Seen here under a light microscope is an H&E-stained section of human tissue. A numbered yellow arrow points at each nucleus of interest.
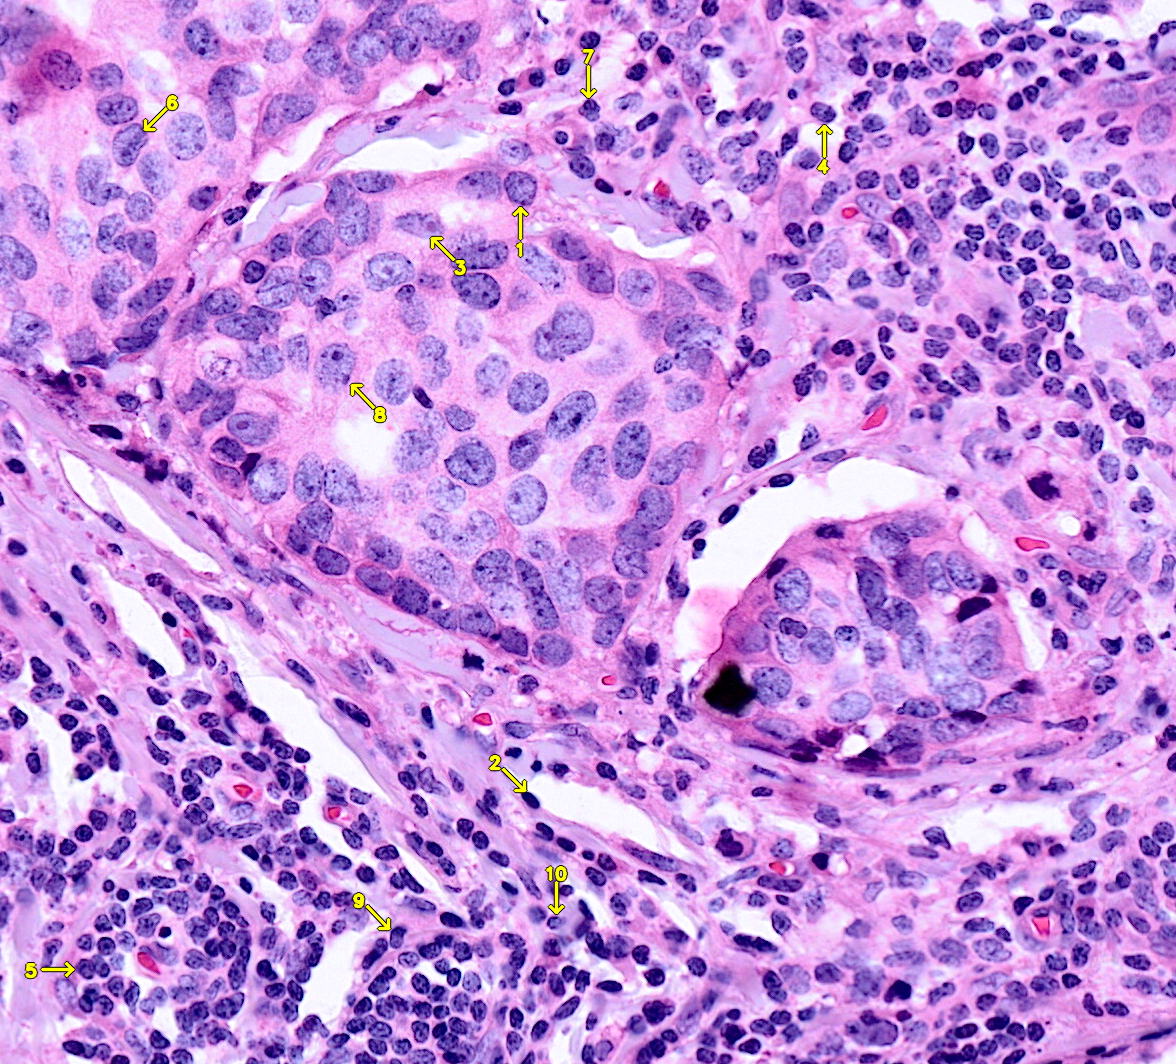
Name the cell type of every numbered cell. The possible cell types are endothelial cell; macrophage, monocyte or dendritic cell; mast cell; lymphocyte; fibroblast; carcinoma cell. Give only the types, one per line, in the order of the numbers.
carcinoma cell
lymphocyte
carcinoma cell
lymphocyte
lymphocyte
carcinoma cell
lymphocyte
carcinoma cell
lymphocyte
lymphocyte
